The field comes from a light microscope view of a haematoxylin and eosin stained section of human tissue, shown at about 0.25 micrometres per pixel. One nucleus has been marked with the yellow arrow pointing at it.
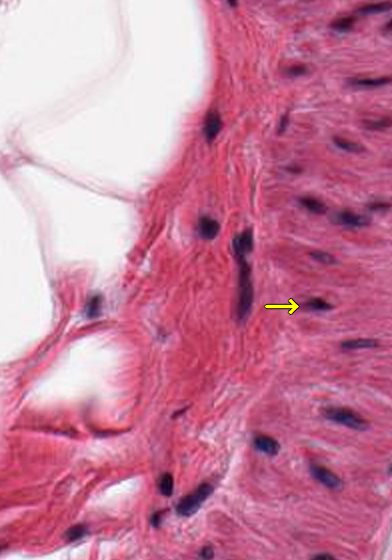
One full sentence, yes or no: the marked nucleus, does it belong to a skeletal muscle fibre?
No, it is not a skeletal muscle fibre to which the marked nucleus belongs.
